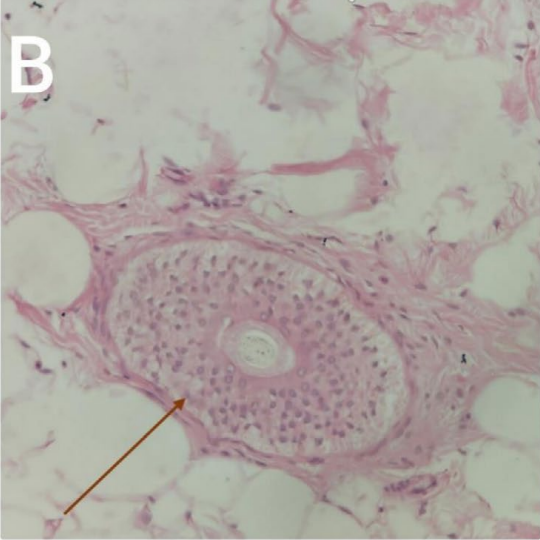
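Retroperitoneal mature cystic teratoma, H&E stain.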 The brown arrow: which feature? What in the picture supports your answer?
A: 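Hair follicle. A round nest of epithelial cells is arranged concentrically around a small central shaft. A pink fibrous sheath surrounds the nest. Fat cells lie around it.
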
